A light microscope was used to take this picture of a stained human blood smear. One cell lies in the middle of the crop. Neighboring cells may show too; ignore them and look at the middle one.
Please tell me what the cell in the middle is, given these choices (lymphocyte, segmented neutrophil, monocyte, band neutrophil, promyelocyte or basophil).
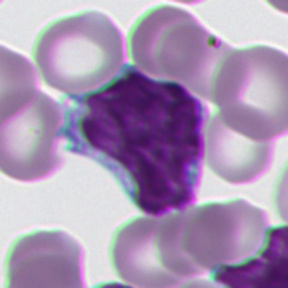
lymphocyte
